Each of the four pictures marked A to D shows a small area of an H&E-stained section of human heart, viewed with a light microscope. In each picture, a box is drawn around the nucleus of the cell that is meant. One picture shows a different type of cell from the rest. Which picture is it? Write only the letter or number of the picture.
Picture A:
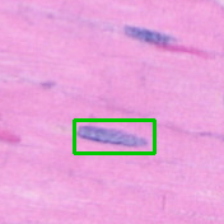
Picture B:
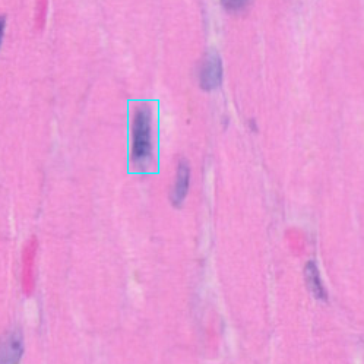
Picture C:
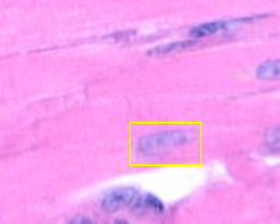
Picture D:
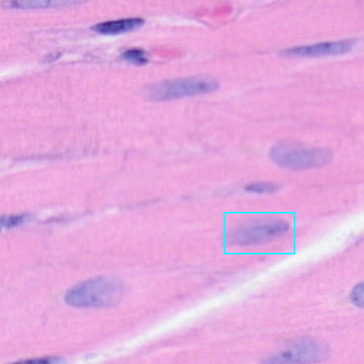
B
